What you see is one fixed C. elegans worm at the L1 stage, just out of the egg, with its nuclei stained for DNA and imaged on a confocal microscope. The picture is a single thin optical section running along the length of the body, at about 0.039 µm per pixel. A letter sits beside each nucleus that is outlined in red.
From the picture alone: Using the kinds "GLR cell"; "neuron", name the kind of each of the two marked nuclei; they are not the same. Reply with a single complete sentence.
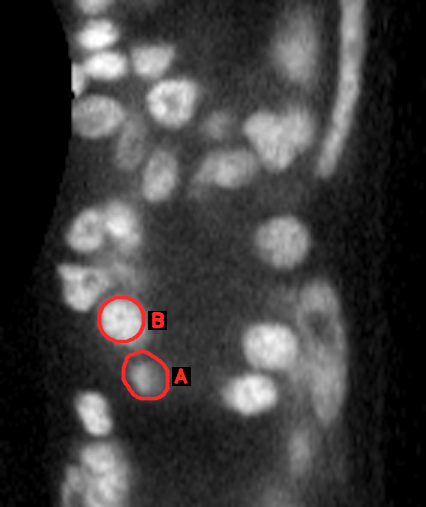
A is from a GLR cell, and B is from a neuron.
